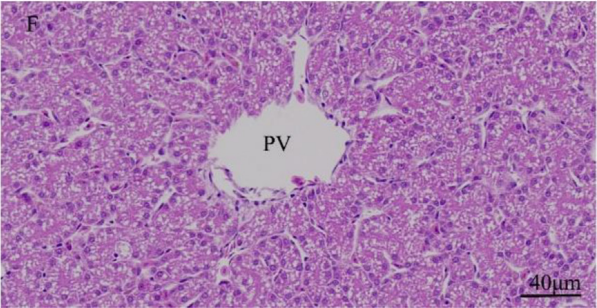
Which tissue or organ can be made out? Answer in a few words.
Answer: Livers.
